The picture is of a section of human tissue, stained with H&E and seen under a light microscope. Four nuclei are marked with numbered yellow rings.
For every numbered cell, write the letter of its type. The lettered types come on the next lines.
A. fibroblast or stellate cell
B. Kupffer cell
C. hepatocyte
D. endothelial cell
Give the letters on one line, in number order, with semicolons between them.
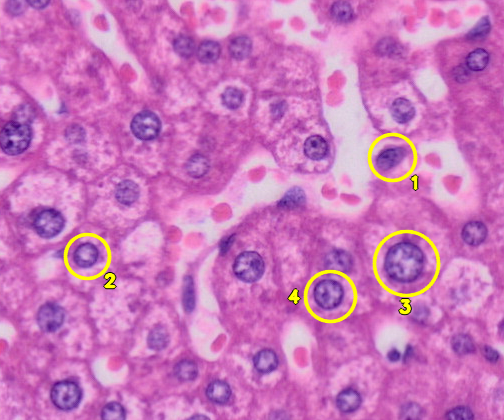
B; C; C; C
